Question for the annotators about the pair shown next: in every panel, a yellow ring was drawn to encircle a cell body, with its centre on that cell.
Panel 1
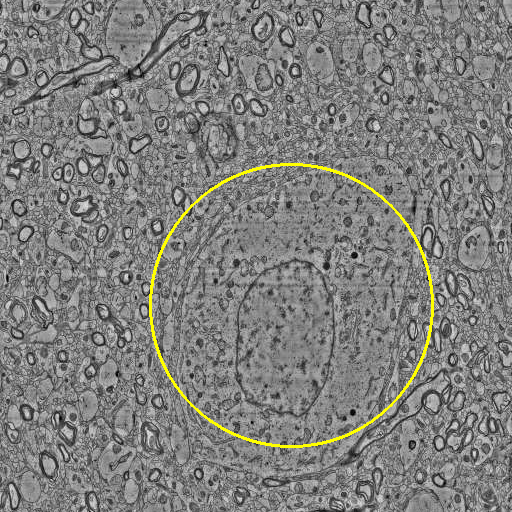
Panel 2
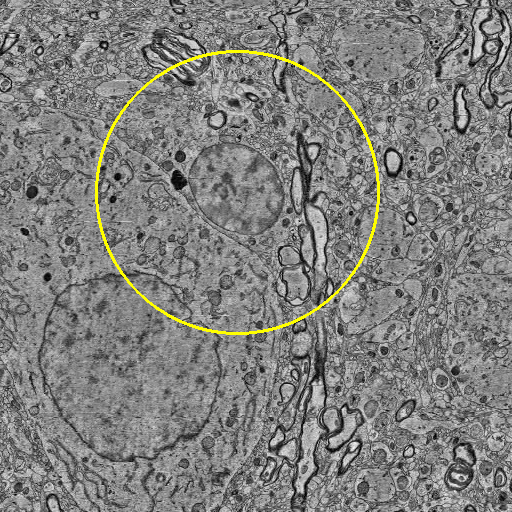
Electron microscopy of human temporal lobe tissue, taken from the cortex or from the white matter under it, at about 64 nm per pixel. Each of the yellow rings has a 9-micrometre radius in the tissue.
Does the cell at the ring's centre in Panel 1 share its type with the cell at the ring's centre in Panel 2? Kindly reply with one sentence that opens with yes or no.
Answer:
No, in Panels 1 and 2 the cells at the ring centres belong to separate types.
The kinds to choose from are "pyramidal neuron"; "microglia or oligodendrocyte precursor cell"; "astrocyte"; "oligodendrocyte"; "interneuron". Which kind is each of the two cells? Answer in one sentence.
Of the two, the first cell is a pyramidal neuron and the second cell is an oligodendrocyte.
